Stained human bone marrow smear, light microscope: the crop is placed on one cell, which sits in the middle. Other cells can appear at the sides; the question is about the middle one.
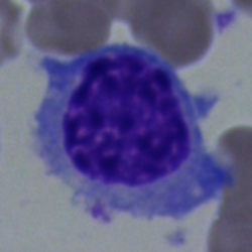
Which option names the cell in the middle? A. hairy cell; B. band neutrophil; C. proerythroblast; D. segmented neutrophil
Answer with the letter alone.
A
